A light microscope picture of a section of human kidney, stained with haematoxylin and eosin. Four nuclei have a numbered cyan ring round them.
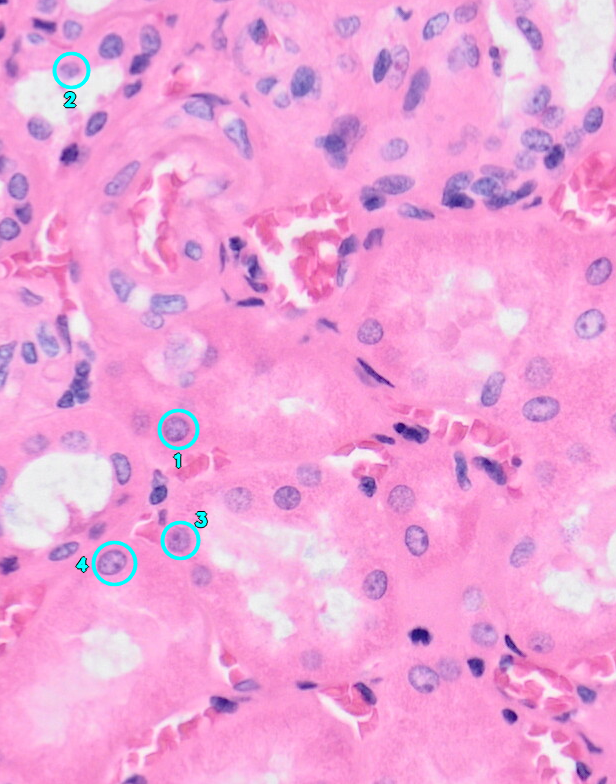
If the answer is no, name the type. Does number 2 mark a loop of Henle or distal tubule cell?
Yes.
